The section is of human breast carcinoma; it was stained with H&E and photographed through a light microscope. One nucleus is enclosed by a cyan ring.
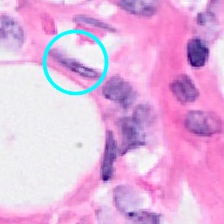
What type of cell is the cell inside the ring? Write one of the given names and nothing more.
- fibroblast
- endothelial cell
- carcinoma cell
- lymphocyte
endothelial cell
